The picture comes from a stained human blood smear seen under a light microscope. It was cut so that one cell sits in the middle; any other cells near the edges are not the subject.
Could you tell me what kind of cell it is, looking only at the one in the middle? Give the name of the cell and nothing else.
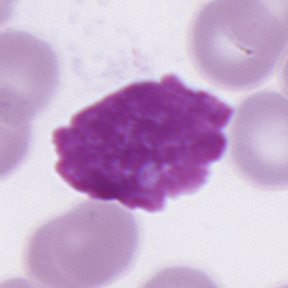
smudge cell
